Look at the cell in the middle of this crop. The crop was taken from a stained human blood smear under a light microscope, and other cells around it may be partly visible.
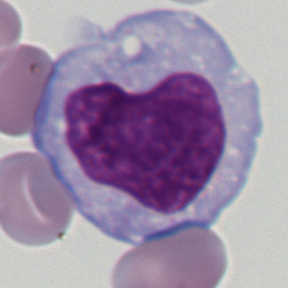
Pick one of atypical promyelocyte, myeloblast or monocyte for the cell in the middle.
monocyte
